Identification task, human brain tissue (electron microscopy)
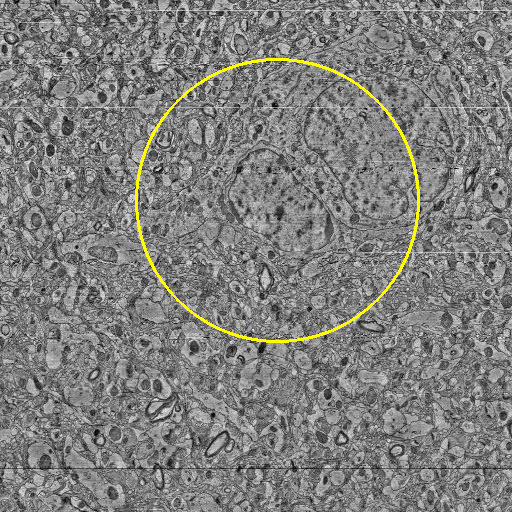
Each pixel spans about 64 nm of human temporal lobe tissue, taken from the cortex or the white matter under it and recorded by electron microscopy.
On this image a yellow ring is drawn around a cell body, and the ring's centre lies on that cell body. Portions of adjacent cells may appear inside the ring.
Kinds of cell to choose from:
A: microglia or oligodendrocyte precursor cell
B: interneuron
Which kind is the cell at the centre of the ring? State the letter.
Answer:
A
